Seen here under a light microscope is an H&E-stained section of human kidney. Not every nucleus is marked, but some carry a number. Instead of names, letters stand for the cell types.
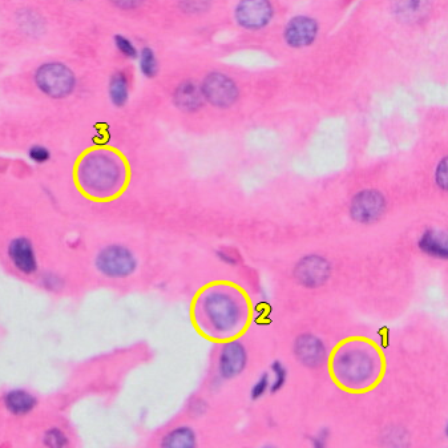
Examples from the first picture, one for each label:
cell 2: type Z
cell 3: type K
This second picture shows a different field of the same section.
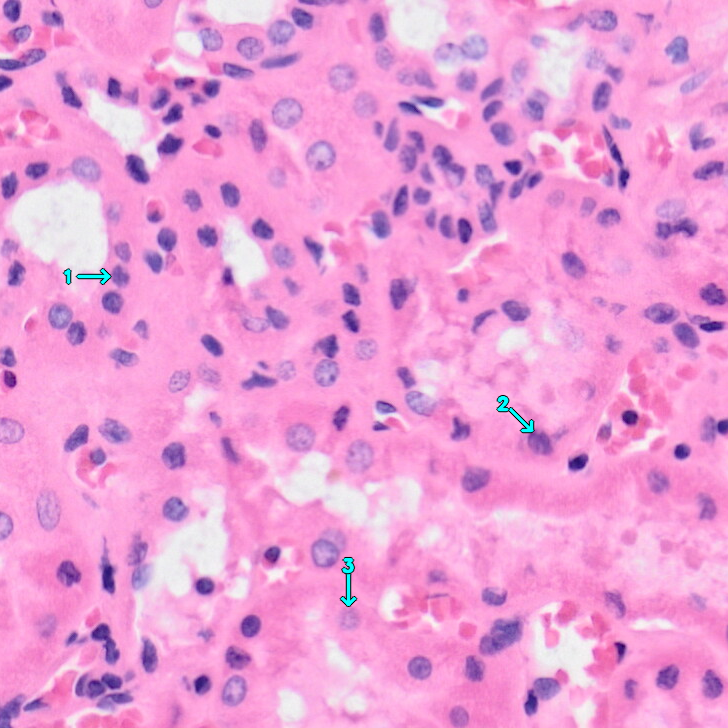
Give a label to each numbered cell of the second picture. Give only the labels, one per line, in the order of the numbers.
type Z
type K
type K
